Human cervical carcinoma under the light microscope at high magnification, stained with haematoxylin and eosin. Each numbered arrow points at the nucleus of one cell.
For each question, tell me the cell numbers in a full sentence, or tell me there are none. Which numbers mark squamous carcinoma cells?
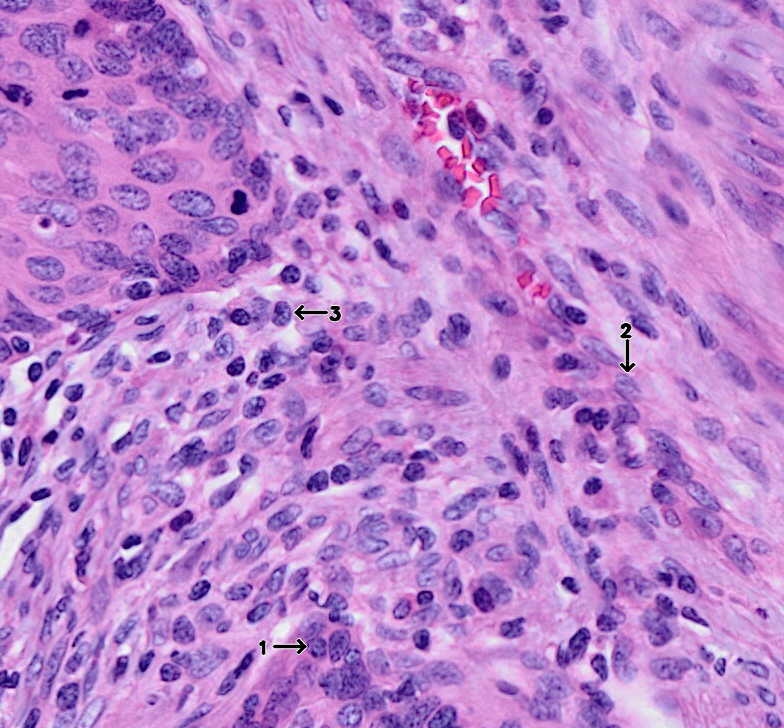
In short, cell 1 is a squamous carcinoma cell; the others are not.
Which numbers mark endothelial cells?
Among the marked cells, an endothelial cell is found only at number 2.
